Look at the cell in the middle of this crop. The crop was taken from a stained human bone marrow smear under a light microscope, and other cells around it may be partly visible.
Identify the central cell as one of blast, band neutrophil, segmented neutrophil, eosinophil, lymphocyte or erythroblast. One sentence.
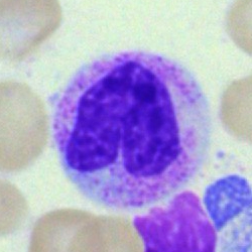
The crop's centre is taken up by a band neutrophil.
